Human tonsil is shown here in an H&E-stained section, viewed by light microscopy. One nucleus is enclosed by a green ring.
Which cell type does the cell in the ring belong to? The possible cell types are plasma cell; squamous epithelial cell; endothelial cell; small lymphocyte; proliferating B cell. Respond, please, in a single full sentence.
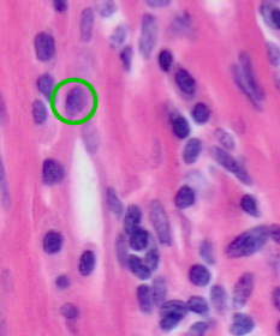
For the purposes of cell typing, the cell in the ring is categorized as an endothelial cell.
